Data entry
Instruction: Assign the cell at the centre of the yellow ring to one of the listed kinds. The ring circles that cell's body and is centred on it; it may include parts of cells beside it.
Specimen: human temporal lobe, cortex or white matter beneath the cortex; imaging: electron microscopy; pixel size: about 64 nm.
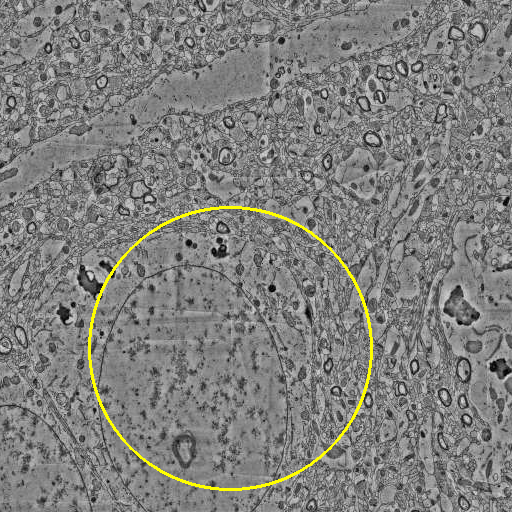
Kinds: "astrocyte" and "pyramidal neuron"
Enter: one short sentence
The centre of the ring falls on a pyramidal neuron.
